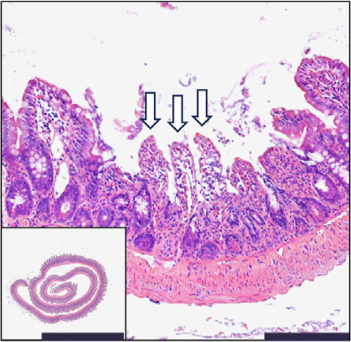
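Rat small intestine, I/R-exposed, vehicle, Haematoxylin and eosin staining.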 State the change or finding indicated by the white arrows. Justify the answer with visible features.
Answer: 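The arrowed villus tips lack a continuous covering epithelial layer. Pale loose connective tissue is exposed at the tips. Detached cell debris lies in the lumen above.
Conclusion: denuded villi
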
